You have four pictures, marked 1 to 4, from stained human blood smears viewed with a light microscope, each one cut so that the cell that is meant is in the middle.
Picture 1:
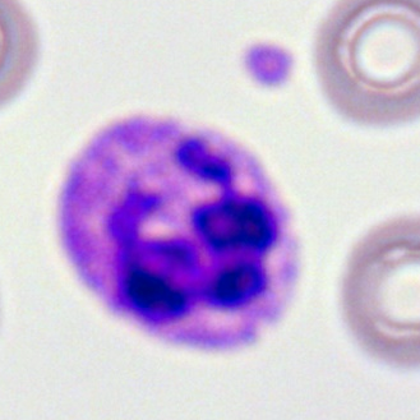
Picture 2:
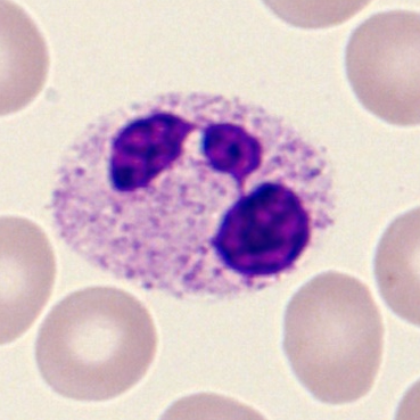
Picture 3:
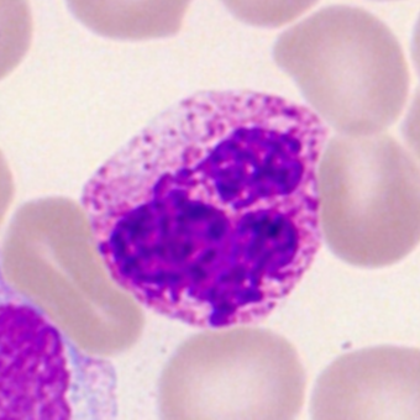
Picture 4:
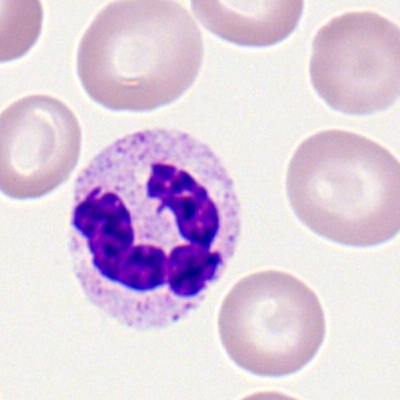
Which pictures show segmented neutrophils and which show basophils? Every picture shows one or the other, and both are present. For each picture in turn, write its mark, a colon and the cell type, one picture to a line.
1: segmented neutrophil
2: segmented neutrophil
3: basophil
4: segmented neutrophil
